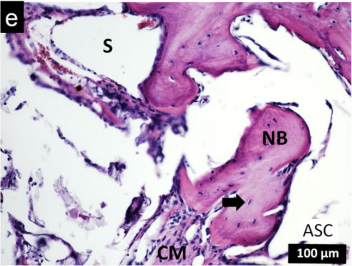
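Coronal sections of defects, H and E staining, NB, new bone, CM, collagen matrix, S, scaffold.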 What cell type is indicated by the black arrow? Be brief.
osteocytes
